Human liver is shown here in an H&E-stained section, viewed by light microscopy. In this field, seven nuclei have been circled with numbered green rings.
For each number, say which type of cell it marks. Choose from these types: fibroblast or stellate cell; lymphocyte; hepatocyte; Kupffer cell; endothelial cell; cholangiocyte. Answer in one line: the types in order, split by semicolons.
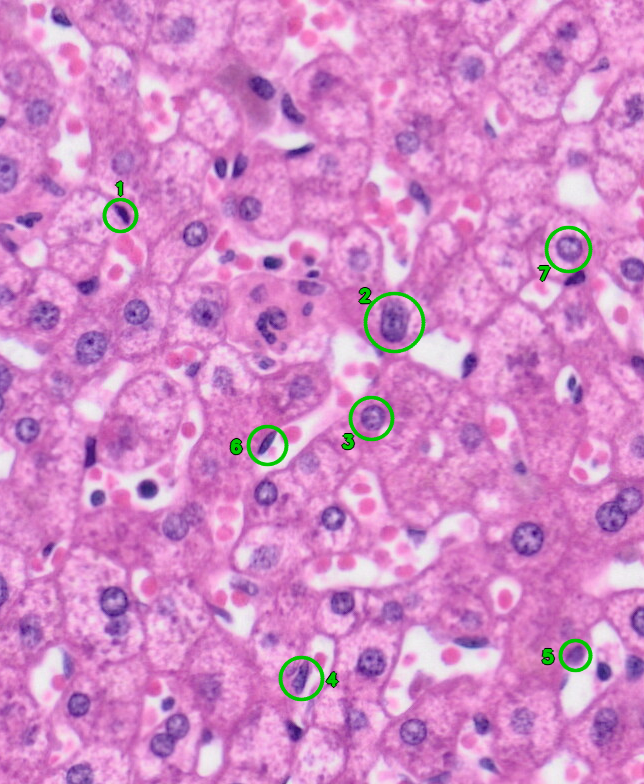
fibroblast or stellate cell; hepatocyte; hepatocyte; Kupffer cell; Kupffer cell; endothelial cell; hepatocyte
